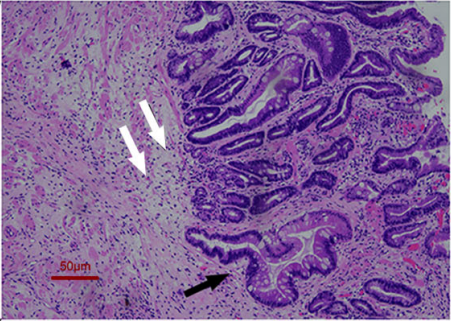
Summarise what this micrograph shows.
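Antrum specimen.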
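Gastric mucosa with intestinal metaplasia and gland atrophy. On the right, crowded, irregular and branching glands are lined by tall columnar epithelium with dark purple nuclei. Some of these glands have dilated, convoluted lumina. Small clear cells within the lining fit goblet cells. The stroma between the glands holds many small dark inflammatory cells. On the left, the deep layer has no glands. It consists of pale pink fibrous and muscular tissue with scattered spindle-shaped nuclei, where the original glands have disappeared.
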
